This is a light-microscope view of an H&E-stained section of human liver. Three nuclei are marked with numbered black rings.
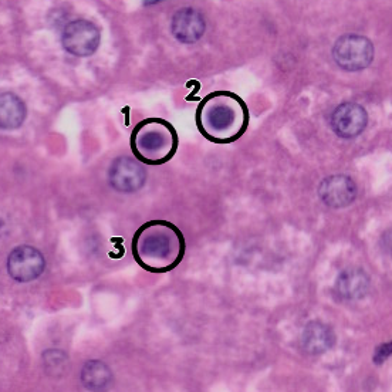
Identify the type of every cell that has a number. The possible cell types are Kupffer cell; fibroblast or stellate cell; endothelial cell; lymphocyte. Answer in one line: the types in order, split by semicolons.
lymphocyte; lymphocyte; fibroblast or stellate cell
